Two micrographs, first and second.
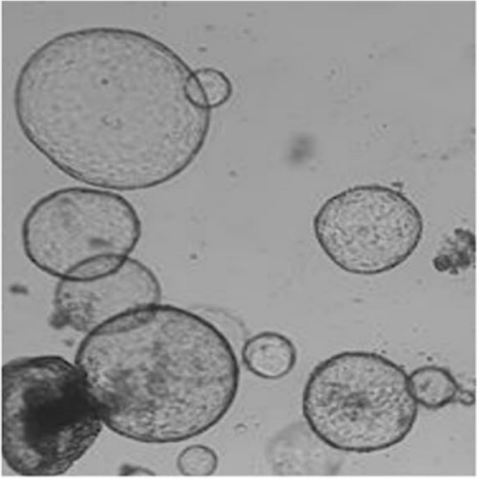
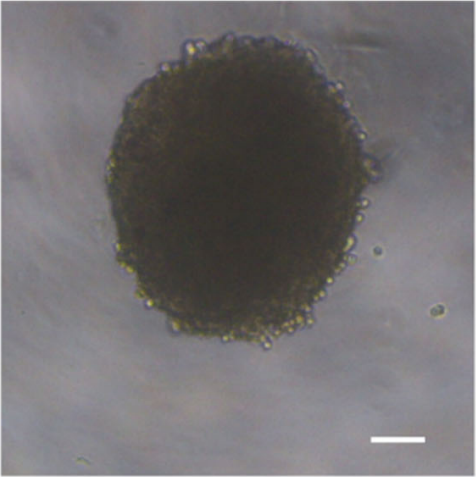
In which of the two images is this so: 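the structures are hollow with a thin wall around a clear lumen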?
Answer: The first image.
